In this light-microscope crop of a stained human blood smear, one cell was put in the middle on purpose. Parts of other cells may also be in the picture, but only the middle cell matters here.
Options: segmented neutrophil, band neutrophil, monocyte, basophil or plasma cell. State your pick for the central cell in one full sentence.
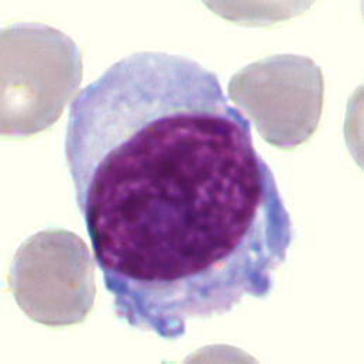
Among the cells in view, the one in the middle is a plasma cell.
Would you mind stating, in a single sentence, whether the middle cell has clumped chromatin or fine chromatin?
What stands out is fine chromatin lacking any coarse clumps.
